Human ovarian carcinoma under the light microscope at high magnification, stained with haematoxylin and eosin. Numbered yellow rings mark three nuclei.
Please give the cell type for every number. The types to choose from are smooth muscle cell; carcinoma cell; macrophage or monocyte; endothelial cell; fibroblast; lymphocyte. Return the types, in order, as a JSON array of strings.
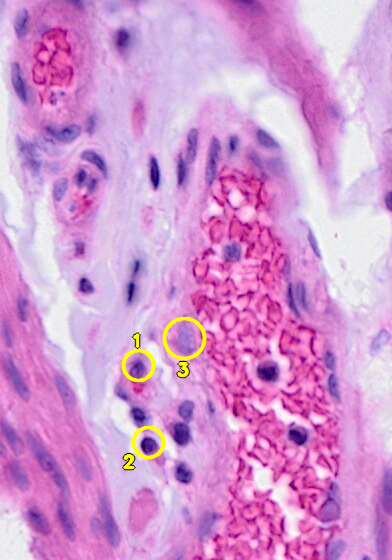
["endothelial cell", "lymphocyte", "endothelial cell"]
